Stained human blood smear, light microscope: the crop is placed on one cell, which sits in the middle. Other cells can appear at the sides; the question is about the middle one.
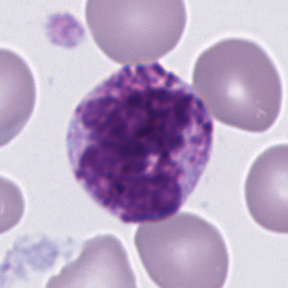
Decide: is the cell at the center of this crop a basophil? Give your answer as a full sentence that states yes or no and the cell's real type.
Yes, the identity of the central cell is that of a basophil.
